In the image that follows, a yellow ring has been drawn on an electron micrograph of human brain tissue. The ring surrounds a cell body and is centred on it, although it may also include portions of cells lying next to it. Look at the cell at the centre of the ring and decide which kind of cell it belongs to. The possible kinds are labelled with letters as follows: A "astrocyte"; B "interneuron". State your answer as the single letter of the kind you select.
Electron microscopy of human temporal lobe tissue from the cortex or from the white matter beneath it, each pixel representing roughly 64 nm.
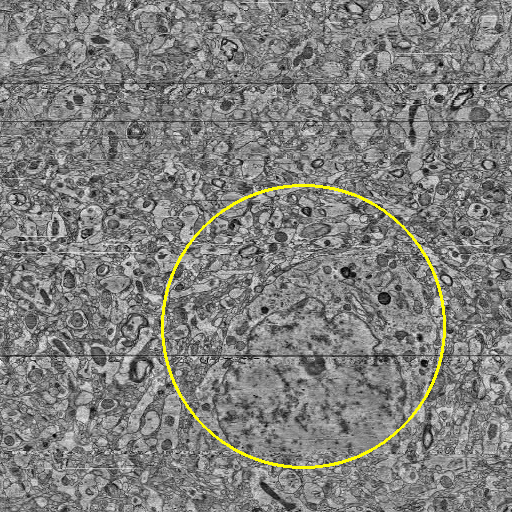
B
